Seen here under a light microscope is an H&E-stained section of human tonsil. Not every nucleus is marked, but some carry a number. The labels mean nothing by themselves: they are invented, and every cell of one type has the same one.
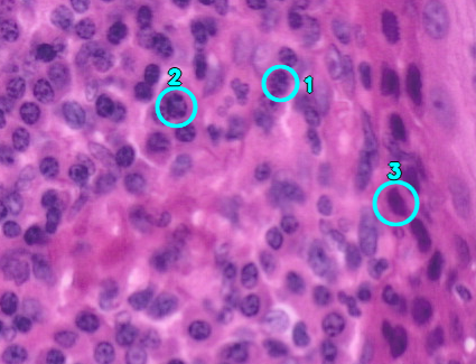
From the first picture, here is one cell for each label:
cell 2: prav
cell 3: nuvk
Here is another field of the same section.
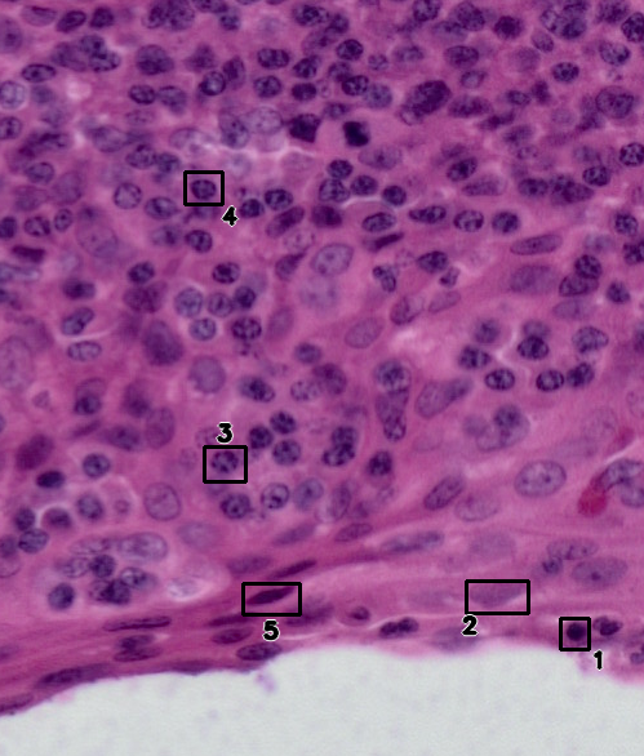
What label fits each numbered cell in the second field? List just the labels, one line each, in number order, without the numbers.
nuvk
nuvk
prav
prav
nuvk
